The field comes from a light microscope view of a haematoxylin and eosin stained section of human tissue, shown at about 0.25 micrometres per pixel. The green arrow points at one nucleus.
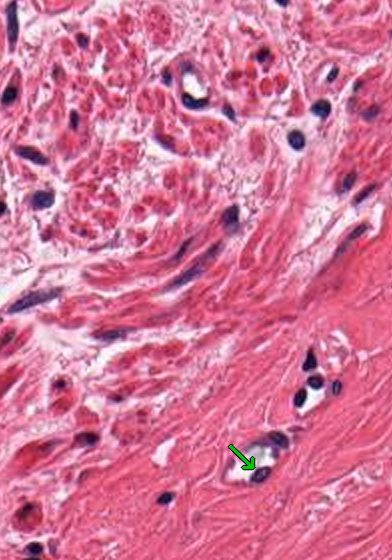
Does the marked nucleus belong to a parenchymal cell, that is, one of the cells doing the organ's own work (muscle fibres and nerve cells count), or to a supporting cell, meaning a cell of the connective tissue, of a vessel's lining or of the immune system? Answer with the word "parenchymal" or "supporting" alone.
supporting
